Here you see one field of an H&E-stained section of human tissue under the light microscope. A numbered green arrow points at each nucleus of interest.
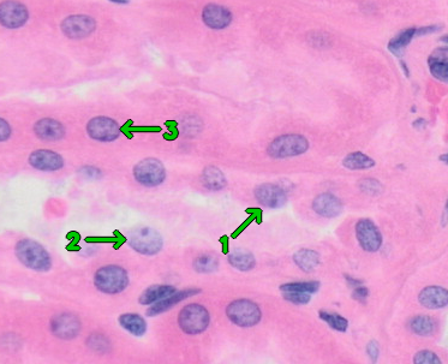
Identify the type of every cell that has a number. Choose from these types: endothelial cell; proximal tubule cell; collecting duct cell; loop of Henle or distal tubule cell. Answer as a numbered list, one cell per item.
1. loop of Henle or distal tubule cell
2. loop of Henle or distal tubule cell
3. proximal tubule cell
